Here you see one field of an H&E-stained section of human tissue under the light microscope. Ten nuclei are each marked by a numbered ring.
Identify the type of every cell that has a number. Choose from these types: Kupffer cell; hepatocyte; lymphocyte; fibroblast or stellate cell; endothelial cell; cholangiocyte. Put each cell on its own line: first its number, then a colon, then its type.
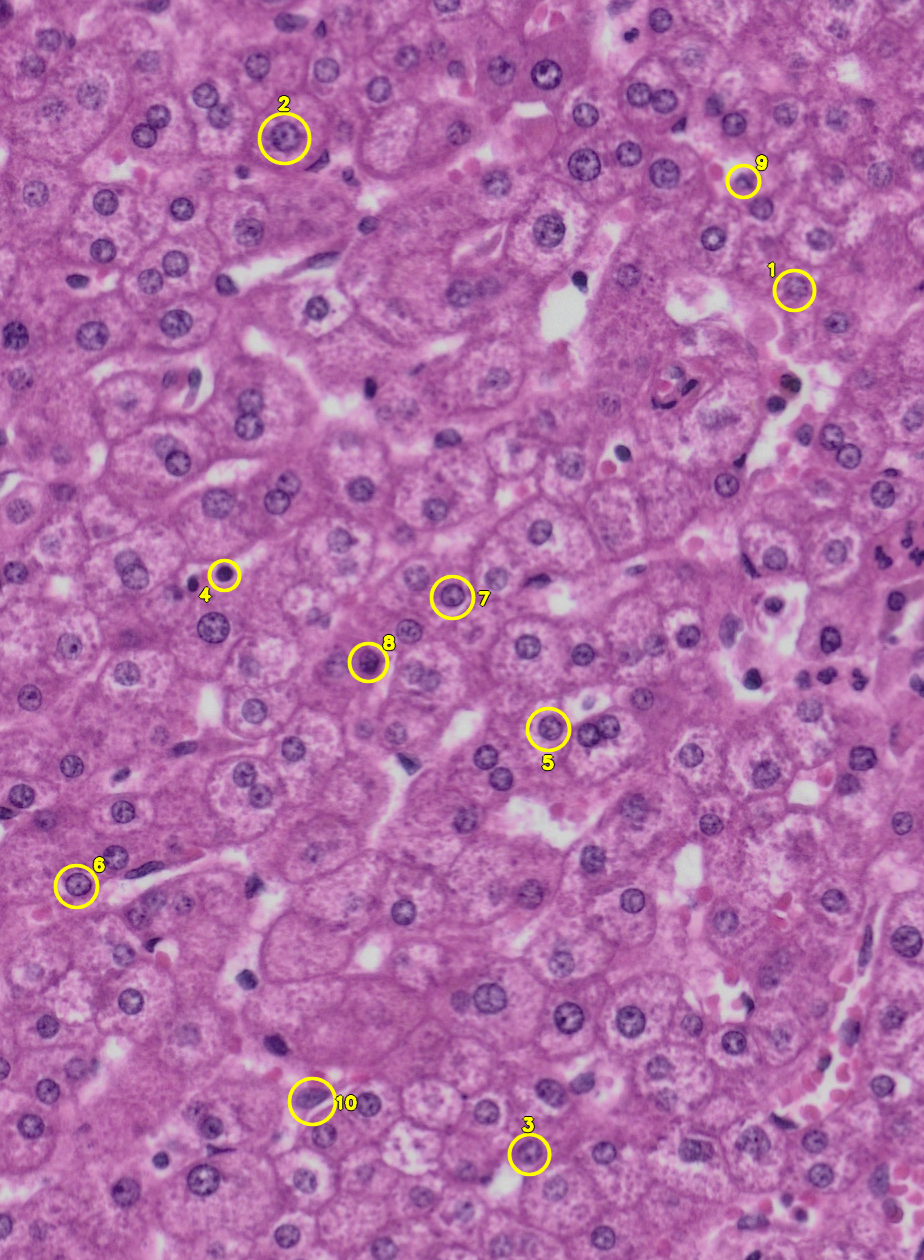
1: hepatocyte
2: hepatocyte
3: hepatocyte
4: lymphocyte
5: hepatocyte
6: hepatocyte
7: hepatocyte
8: Kupffer cell
9: Kupffer cell
10: Kupffer cell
